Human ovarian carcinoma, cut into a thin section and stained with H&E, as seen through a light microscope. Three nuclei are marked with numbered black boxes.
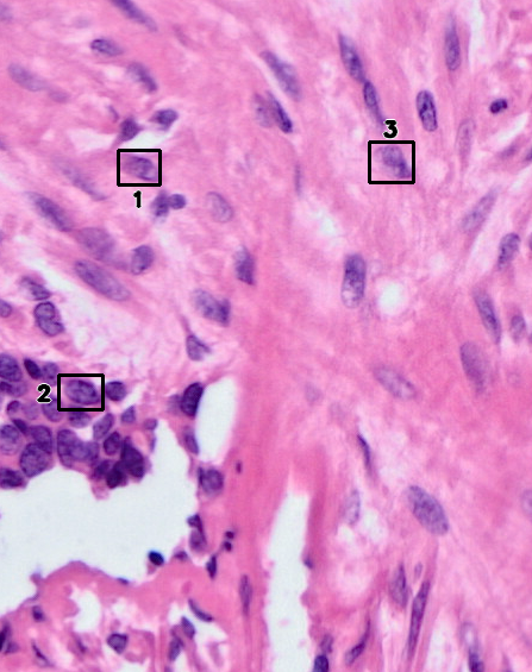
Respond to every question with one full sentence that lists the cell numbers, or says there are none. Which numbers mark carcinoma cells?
It is only cell 2 that is a carcinoma cell among the numbered cells.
